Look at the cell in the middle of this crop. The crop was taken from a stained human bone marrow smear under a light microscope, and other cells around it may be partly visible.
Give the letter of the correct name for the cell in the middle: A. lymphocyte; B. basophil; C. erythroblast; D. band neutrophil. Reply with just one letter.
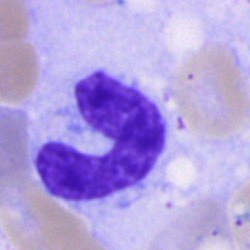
D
